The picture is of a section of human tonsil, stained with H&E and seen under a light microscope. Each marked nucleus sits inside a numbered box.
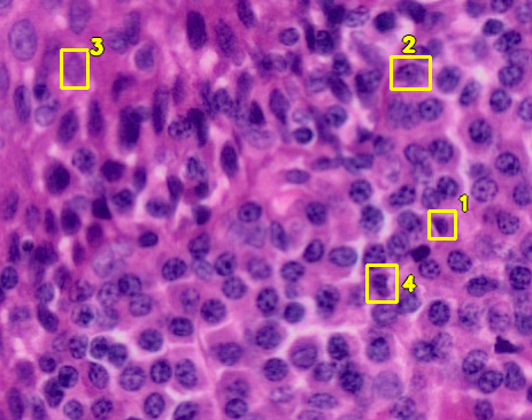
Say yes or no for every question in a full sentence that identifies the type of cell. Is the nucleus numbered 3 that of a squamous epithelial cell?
Yes, so the cell at label 3 is a squamous epithelial cell.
